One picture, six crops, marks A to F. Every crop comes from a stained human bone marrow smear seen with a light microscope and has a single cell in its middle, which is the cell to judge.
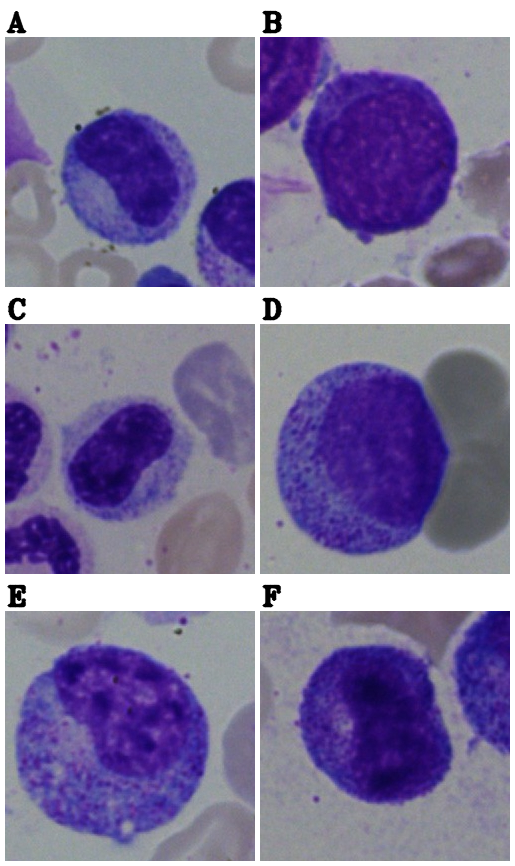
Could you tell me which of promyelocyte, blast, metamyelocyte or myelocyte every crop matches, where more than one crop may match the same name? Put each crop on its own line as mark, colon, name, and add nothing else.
A: metamyelocyte
B: promyelocyte
C: metamyelocyte
D: promyelocyte
E: metamyelocyte
F: promyelocyte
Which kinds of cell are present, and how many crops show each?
metamyelocyte: 3
promyelocyte: 3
